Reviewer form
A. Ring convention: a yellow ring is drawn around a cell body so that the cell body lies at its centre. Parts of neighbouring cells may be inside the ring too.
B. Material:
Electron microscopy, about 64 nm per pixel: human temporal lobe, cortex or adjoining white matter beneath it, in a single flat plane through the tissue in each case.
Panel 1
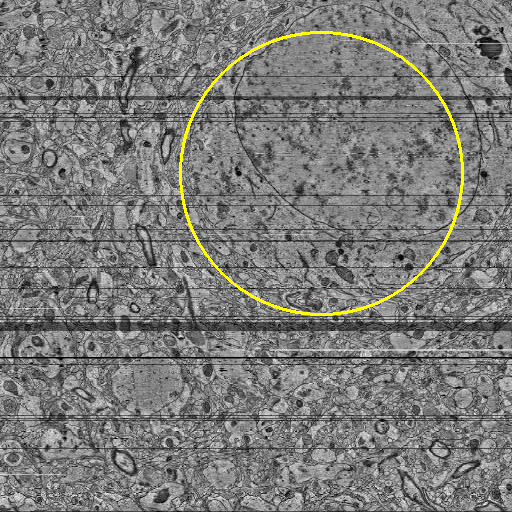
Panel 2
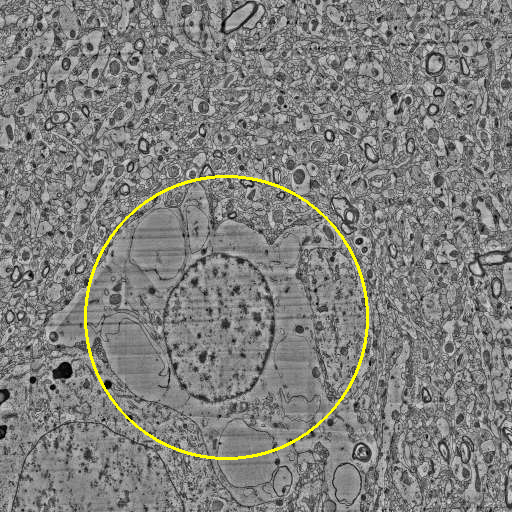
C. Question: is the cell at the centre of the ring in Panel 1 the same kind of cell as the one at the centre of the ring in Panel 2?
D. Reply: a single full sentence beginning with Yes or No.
No, the cells in Panel 1 and Panel 2 are two kinds of cell.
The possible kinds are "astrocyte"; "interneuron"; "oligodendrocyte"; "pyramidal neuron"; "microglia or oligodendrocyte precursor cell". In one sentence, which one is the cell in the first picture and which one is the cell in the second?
The cell ringed in the second picture is an astrocyte, whereas the one ringed in the first is a pyramidal neuron.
